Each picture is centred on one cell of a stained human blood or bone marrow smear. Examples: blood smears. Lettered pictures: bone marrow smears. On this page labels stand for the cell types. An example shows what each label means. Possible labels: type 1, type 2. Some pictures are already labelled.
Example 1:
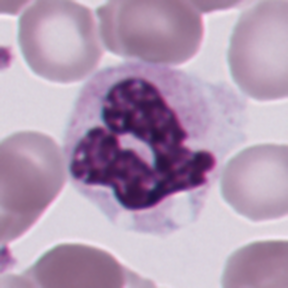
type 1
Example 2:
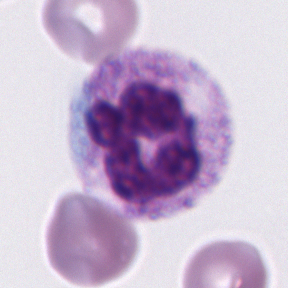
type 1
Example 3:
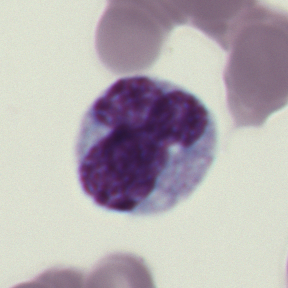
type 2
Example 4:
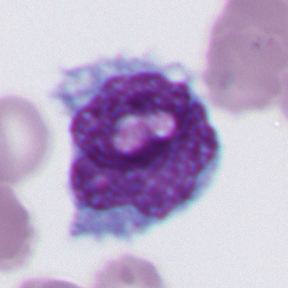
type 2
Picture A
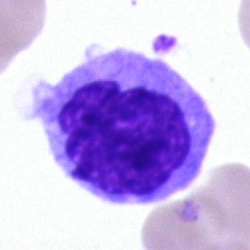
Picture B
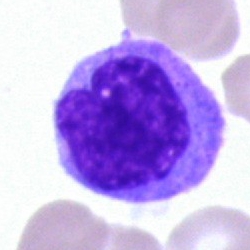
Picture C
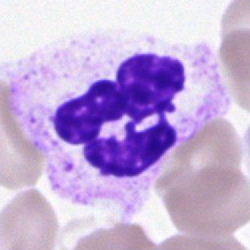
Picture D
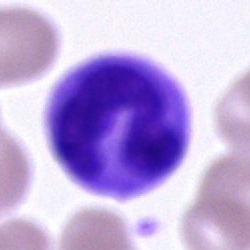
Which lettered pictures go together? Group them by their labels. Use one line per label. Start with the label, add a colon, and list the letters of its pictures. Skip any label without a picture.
type 1: C
type 2: A, B, D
